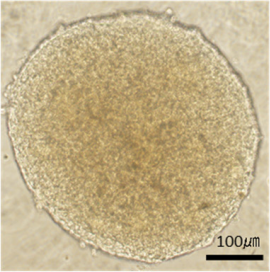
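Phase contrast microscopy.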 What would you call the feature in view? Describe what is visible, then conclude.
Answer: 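A round, compact three-dimensional cell aggregate with a smooth outline. The center is darker and denser than the rim. That points to this answer: spheroid.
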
